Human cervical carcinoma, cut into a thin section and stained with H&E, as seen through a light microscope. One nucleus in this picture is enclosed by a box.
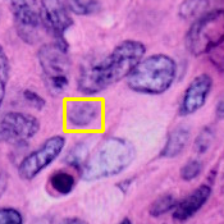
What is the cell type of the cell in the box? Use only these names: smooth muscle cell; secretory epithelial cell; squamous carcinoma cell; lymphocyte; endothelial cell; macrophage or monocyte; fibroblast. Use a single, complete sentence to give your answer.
As for its identity, the cell in the box is a squamous carcinoma cell.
